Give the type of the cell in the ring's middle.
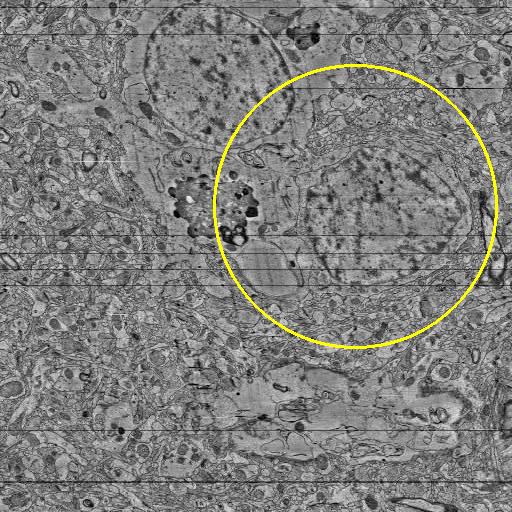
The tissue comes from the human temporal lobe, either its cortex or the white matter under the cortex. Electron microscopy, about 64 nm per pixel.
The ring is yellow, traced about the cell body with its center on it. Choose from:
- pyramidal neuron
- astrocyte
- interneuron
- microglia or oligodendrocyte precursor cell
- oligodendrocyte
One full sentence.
Here, an interneuron is the cell lying at the center of the yellow ring.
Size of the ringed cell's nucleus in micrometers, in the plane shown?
The nucleus is approximately 9 micrometers across in this plane.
